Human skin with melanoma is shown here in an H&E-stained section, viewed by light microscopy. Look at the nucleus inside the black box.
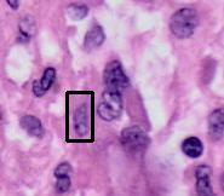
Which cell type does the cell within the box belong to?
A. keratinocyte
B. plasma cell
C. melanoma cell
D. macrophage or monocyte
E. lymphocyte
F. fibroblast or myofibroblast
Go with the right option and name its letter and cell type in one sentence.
The correct response is option D: the cell within the box is a macrophage or monocyte.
